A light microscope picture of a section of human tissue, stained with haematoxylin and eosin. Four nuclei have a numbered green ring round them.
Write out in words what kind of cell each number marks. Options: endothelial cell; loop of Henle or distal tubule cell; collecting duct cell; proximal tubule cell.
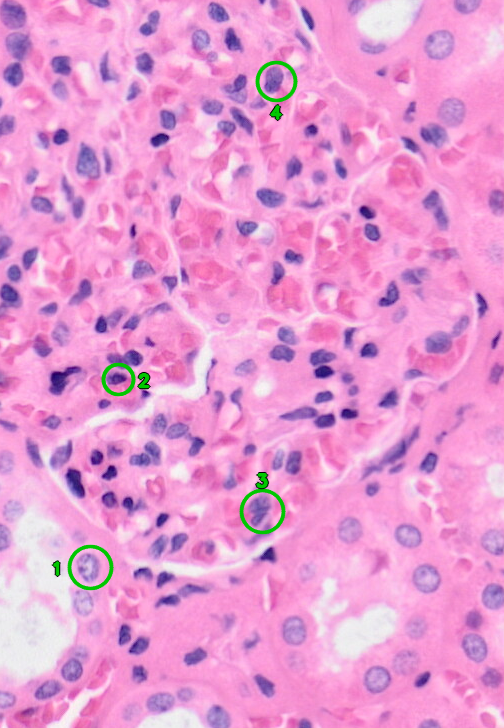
Cell 1 is a collecting duct cell, cell 2 is an endothelial cell, cell 3 is an endothelial cell and cell 4 is an endothelial cell.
